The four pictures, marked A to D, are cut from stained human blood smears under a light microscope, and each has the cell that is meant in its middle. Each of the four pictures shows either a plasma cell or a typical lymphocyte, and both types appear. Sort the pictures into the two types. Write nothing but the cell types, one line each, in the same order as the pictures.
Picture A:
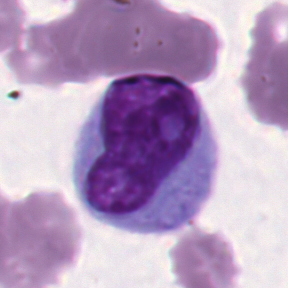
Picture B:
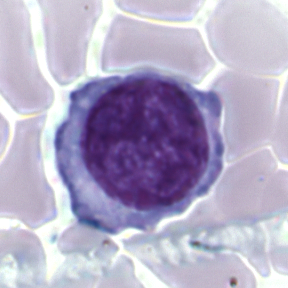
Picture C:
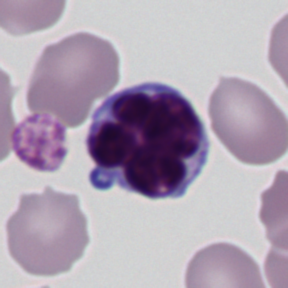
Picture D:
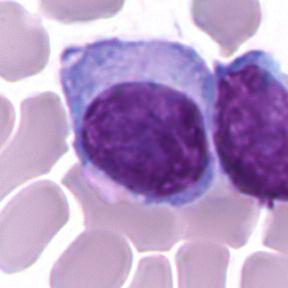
plasma cell
plasma cell
typical lymphocyte
plasma cell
